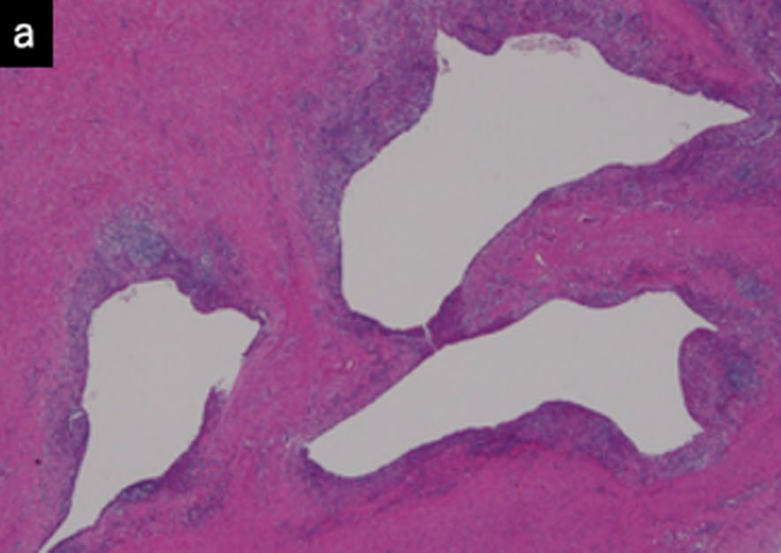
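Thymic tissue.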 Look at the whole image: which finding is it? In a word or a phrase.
Multilocular cysts.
